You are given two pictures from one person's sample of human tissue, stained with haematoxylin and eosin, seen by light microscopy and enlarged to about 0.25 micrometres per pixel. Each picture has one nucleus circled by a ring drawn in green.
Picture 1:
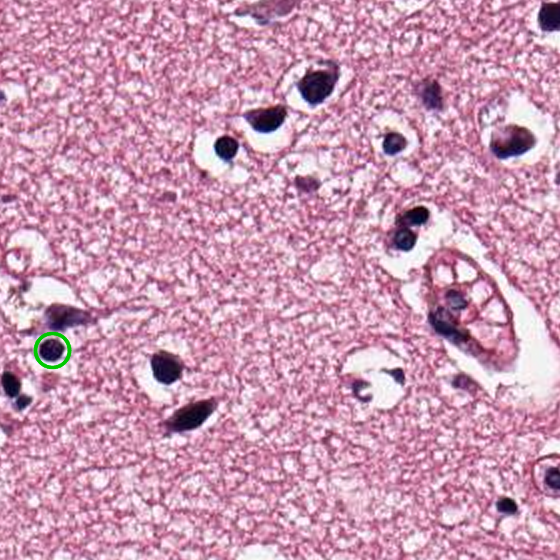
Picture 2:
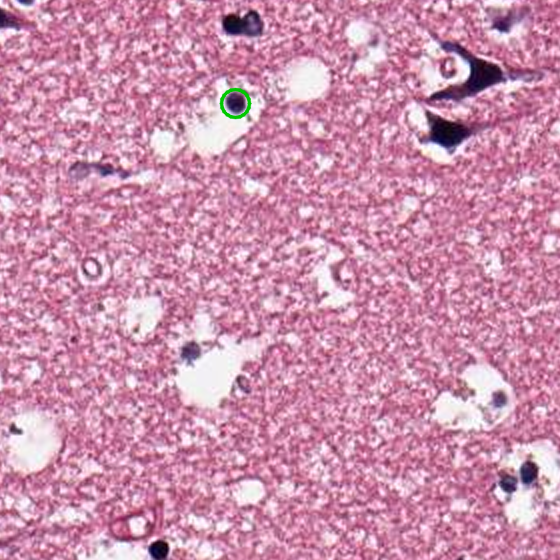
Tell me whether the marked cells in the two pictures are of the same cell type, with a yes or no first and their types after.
Yes, both are oligodendrocytes.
